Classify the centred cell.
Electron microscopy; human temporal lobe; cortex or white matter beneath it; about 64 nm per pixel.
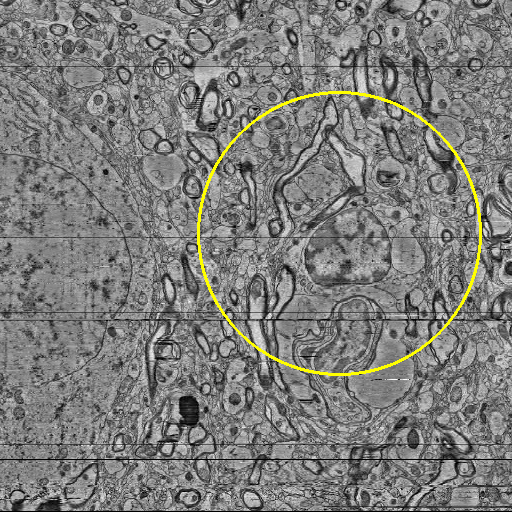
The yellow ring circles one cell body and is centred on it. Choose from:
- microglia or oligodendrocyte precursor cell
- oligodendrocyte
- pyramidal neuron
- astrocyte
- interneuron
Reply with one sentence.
The ring is centred on a microglial cell or oligodendrocyte precursor cell.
